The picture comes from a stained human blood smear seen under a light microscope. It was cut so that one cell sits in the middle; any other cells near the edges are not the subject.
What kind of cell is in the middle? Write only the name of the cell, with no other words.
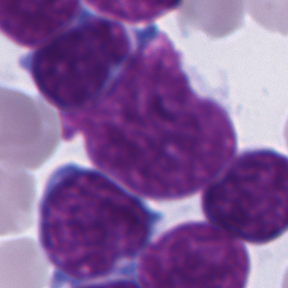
blast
